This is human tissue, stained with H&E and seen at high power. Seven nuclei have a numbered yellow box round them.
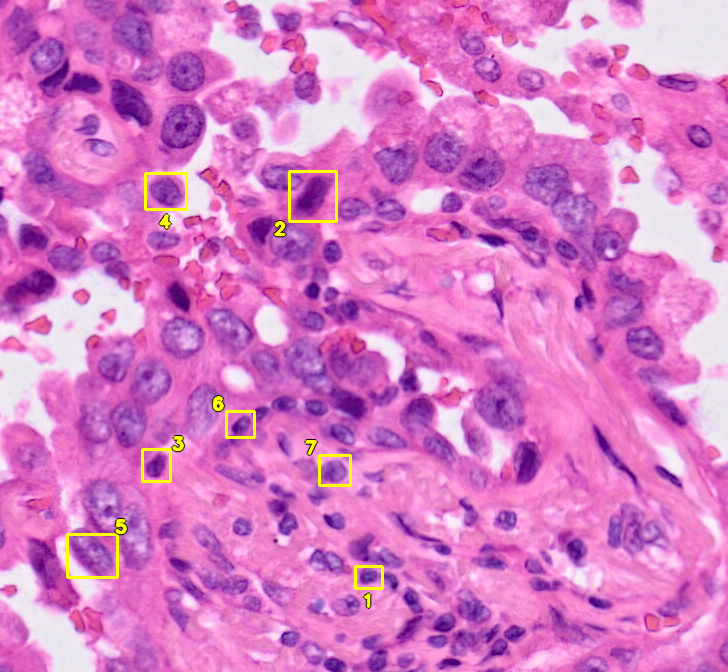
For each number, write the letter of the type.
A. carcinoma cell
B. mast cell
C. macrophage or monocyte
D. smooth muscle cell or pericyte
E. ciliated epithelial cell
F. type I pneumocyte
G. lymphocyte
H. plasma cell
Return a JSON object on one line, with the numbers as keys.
{"1": "G", "2": "A", "3": "G", "4": "A", "5": "A", "6": "G", "7": "G"}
